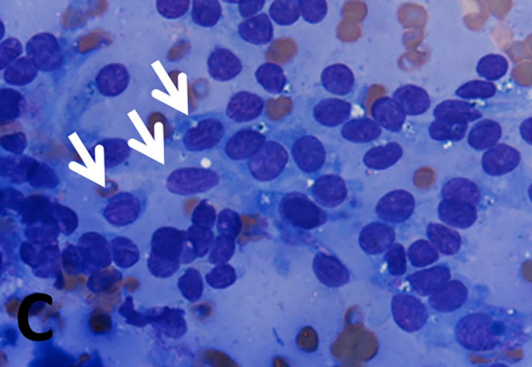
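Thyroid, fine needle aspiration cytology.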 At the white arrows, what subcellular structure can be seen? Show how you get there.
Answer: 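The arrowed nuclei are oval with a thin longitudinal line along them. So: nuclear grooves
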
